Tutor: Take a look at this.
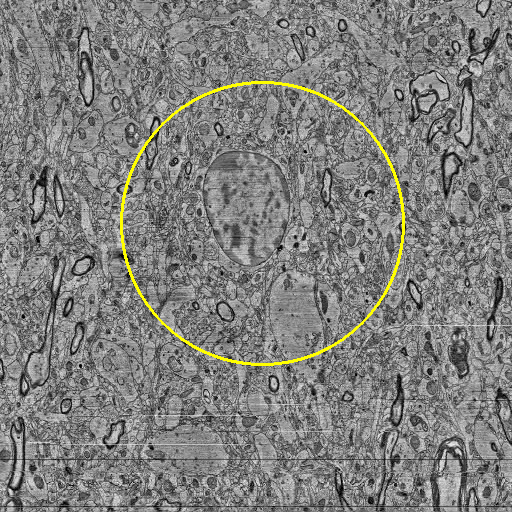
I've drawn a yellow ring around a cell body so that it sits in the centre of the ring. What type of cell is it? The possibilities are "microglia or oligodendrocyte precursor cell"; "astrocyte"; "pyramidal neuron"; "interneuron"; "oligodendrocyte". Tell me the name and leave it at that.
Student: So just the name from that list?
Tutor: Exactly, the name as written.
microglia or oligodendrocyte precursor cell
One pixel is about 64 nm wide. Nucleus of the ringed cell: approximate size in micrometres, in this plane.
Approximately 8 micrometres long and 6 micrometres wide, in this plane.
